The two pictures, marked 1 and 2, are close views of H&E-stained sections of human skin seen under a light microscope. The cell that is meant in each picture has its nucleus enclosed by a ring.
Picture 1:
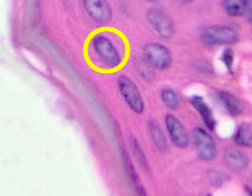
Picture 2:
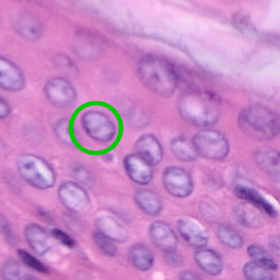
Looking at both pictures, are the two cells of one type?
yes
